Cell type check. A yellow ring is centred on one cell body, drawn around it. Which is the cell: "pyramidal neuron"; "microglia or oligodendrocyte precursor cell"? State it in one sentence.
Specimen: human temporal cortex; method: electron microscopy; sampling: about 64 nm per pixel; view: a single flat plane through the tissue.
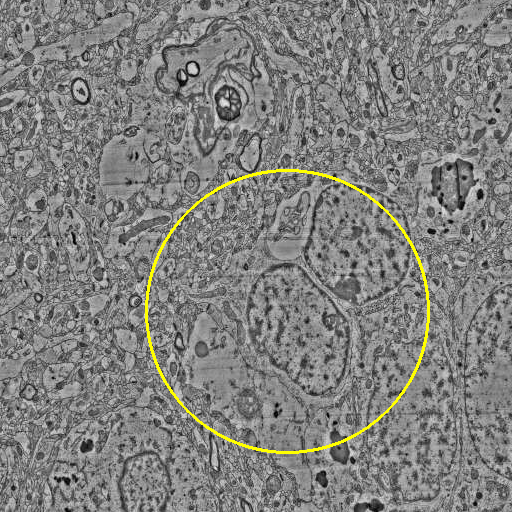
The cell body at the ring's centre belongs to a microglial cell or oligodendrocyte precursor cell.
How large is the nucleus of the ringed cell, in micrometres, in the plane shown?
About 9 by 6 micrometers, in this plane.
